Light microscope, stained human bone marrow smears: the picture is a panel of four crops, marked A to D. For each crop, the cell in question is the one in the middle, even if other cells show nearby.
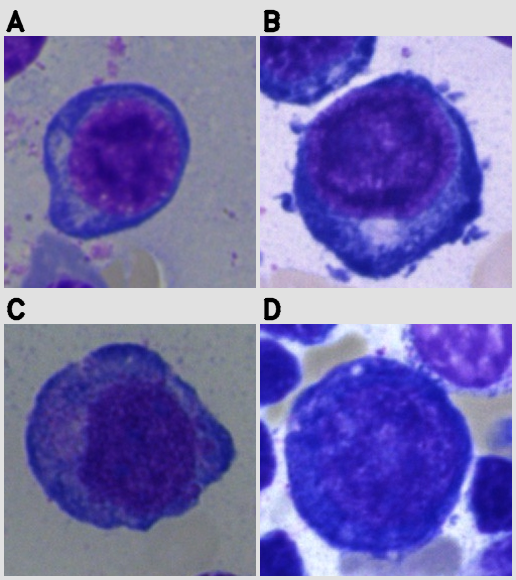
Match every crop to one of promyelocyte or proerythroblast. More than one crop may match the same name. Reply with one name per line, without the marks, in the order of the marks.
proerythroblast
proerythroblast
promyelocyte
proerythroblast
